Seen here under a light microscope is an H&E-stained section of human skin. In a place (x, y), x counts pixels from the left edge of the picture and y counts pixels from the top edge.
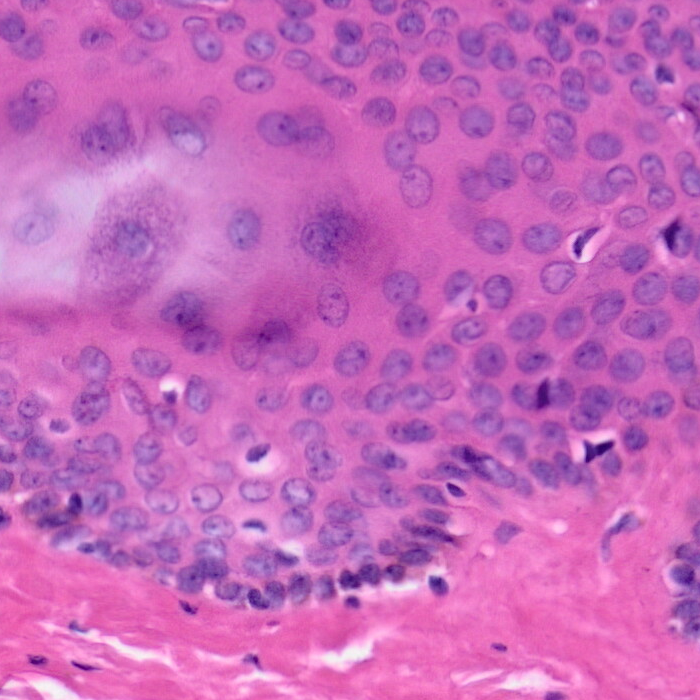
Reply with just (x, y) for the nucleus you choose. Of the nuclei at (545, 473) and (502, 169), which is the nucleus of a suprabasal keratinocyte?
(502, 169)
